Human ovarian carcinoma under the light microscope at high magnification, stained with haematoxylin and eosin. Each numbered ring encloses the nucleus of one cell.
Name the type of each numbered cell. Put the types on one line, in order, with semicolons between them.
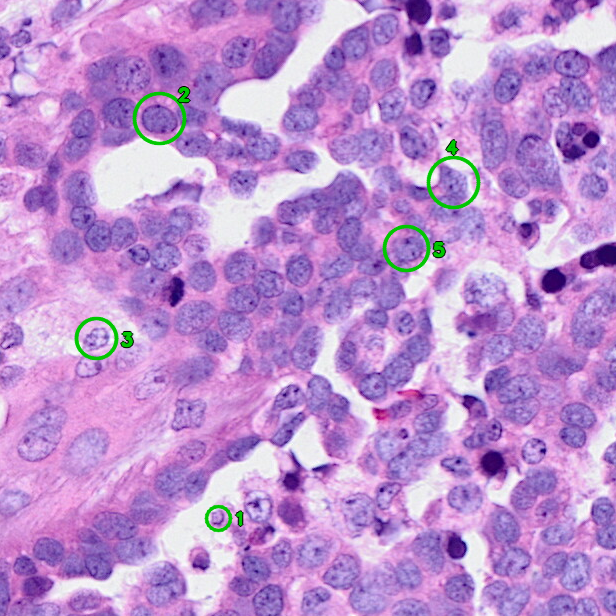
macrophage or monocyte; carcinoma cell; macrophage or monocyte; carcinoma cell; carcinoma cell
